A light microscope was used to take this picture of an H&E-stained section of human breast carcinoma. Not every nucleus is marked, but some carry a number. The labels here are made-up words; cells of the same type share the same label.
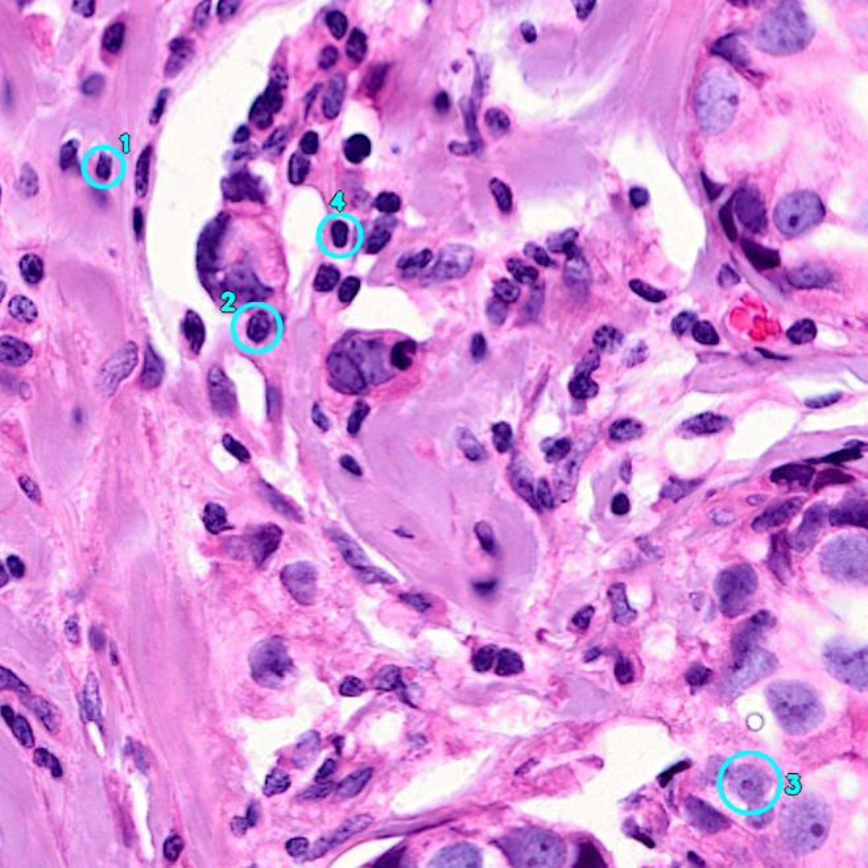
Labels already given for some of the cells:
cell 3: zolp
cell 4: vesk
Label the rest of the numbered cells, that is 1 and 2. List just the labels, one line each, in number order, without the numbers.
vesk
vesk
